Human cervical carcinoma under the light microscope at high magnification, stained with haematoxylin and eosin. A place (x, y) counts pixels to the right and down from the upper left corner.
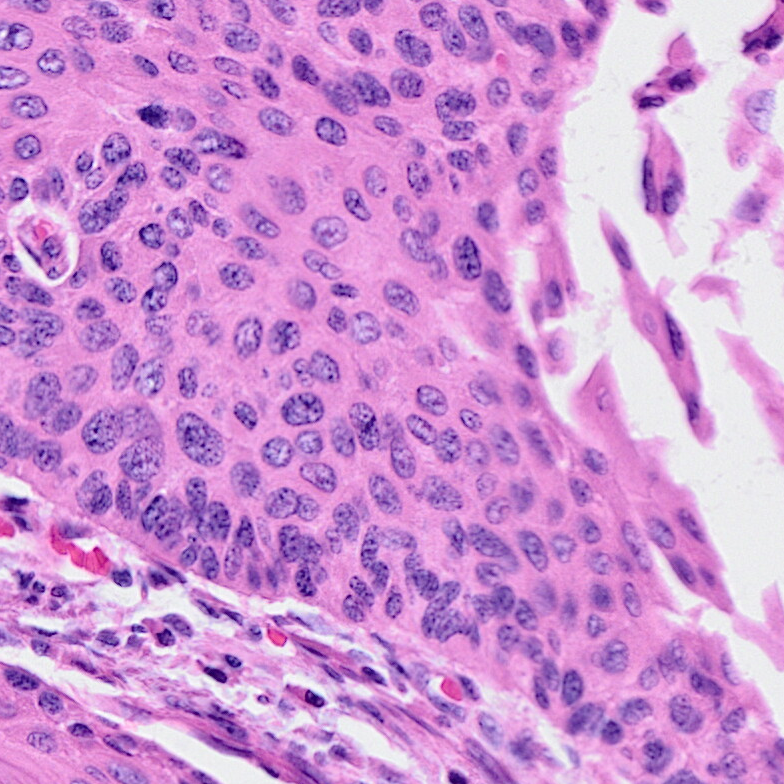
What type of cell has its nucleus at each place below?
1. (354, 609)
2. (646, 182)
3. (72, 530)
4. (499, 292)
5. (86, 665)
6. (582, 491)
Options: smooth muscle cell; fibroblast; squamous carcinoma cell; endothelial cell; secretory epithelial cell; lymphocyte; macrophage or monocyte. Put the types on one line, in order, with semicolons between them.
squamous carcinoma cell; squamous carcinoma cell; endothelial cell; squamous carcinoma cell; fibroblast; squamous carcinoma cell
